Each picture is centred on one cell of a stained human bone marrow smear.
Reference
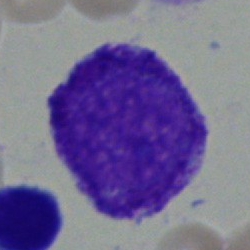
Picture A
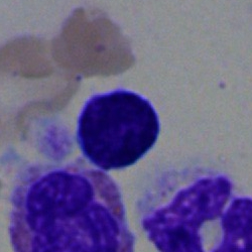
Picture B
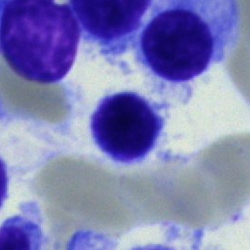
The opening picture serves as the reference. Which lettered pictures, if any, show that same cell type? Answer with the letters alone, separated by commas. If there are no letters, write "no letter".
no letter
